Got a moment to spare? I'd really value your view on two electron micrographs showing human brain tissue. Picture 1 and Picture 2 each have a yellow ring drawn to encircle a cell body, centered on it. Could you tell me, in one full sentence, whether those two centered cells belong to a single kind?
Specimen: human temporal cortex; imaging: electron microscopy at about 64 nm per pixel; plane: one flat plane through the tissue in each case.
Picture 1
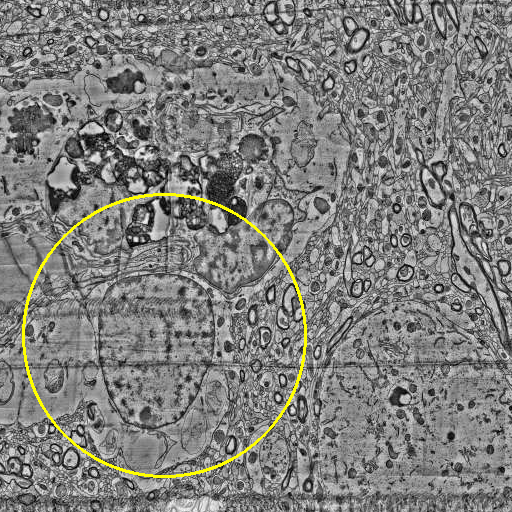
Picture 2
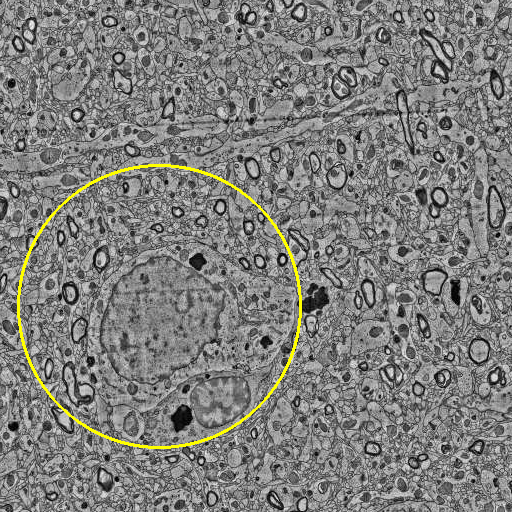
No, the two centered cells in Picture 1 and Picture 2 are of two kinds.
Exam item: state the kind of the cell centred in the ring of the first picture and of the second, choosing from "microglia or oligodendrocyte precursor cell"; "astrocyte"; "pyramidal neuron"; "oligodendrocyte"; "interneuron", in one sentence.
The first picture shows an astrocyte at the ring centre and the second shows an interneuron.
